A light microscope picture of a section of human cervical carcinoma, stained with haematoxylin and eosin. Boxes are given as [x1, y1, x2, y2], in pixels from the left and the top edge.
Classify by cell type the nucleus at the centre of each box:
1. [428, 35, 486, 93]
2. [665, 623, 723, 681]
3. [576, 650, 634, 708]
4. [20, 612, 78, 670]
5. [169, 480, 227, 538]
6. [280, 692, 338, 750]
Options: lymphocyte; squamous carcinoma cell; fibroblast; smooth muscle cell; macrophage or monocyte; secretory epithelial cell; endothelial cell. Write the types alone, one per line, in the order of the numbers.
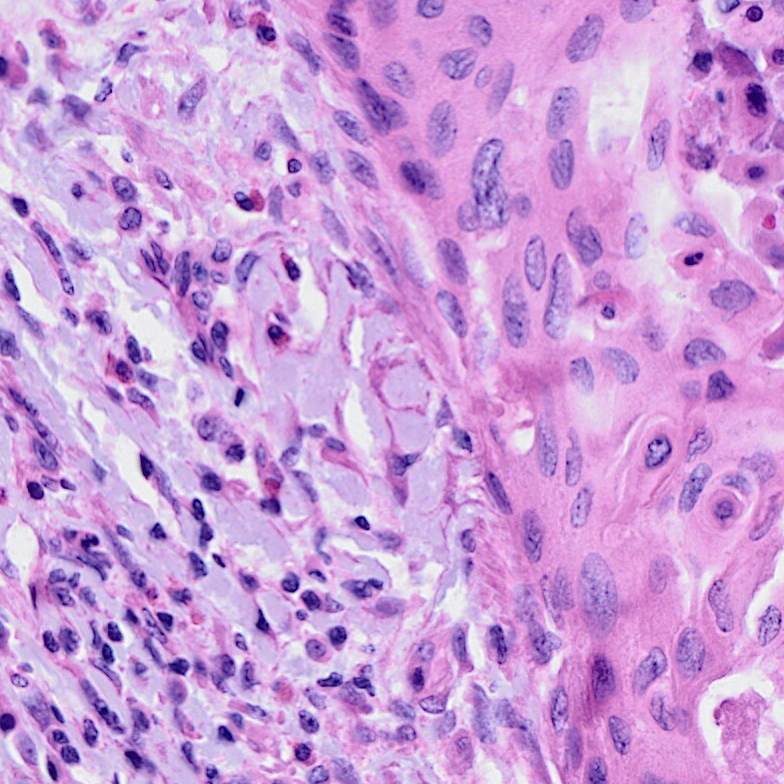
squamous carcinoma cell
squamous carcinoma cell
squamous carcinoma cell
lymphocyte
lymphocyte
lymphocyte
